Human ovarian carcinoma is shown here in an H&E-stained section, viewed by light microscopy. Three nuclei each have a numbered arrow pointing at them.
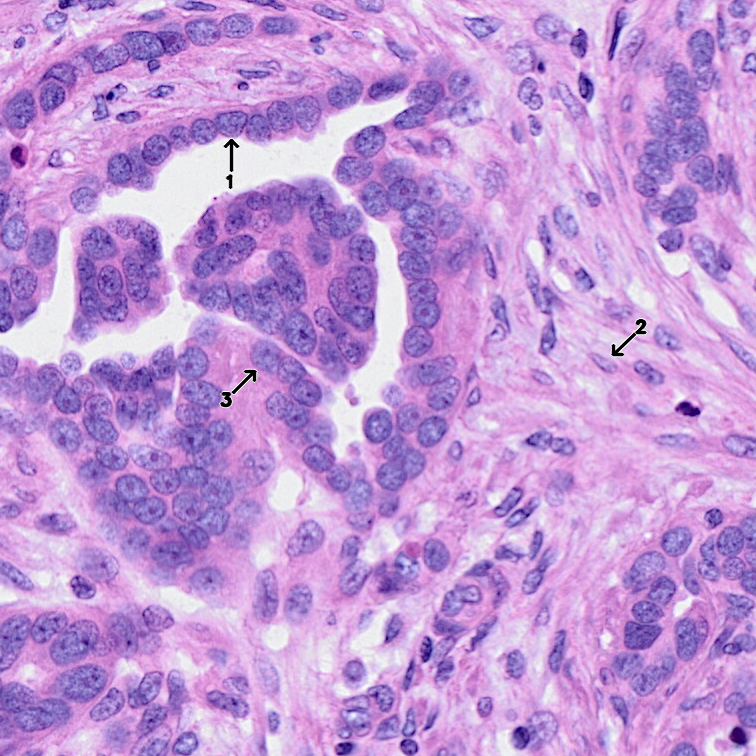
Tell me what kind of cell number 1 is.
carcinoma cell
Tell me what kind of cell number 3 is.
carcinoma cell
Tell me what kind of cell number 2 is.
fibroblast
